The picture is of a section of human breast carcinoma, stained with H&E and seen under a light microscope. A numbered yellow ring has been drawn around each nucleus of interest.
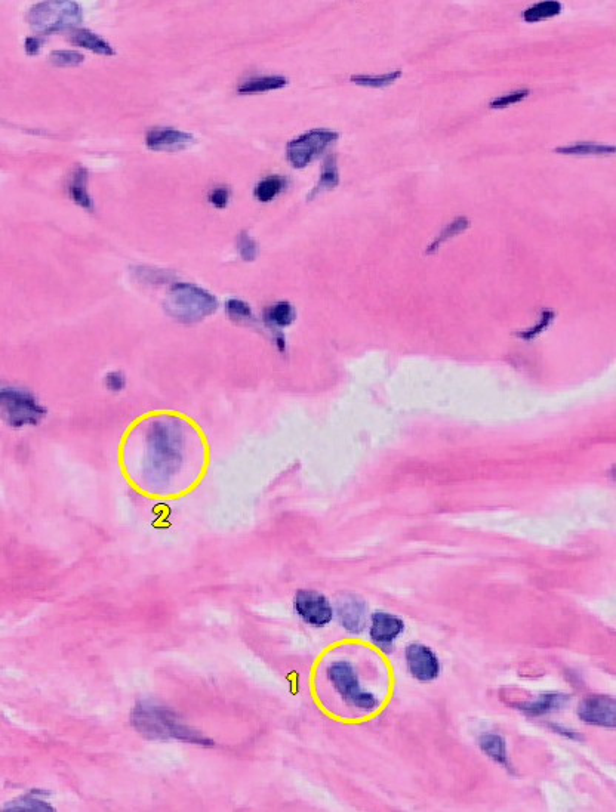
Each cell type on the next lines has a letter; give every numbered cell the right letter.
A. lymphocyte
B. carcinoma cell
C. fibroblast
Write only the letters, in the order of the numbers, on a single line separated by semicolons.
A; C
